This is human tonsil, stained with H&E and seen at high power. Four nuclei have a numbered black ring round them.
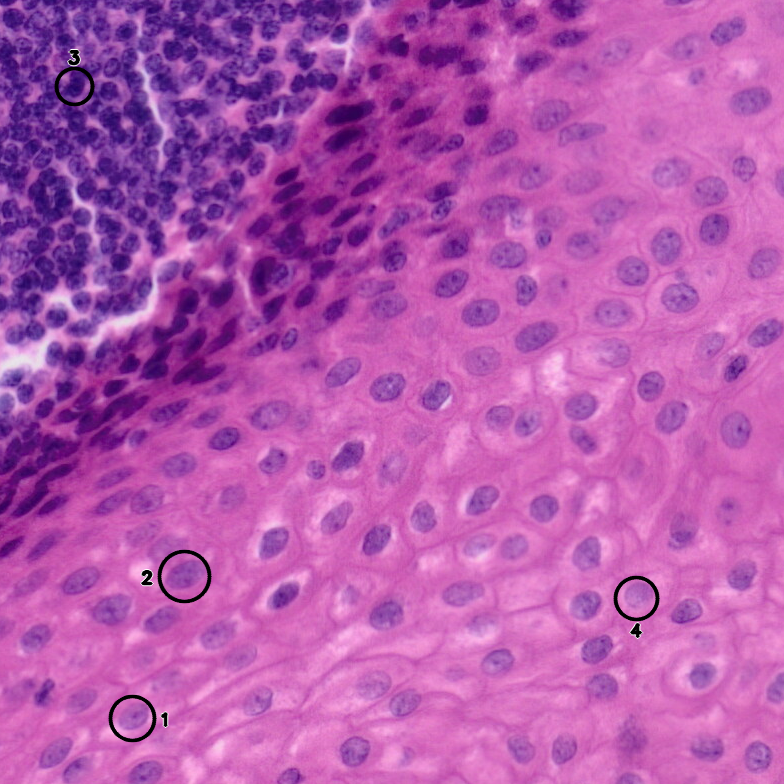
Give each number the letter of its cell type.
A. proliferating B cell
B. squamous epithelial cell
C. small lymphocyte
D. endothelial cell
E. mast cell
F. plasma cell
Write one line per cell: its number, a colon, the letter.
1: B
2: B
3: C
4: B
